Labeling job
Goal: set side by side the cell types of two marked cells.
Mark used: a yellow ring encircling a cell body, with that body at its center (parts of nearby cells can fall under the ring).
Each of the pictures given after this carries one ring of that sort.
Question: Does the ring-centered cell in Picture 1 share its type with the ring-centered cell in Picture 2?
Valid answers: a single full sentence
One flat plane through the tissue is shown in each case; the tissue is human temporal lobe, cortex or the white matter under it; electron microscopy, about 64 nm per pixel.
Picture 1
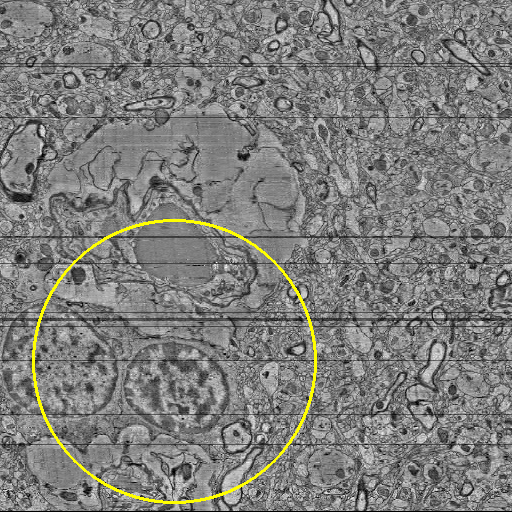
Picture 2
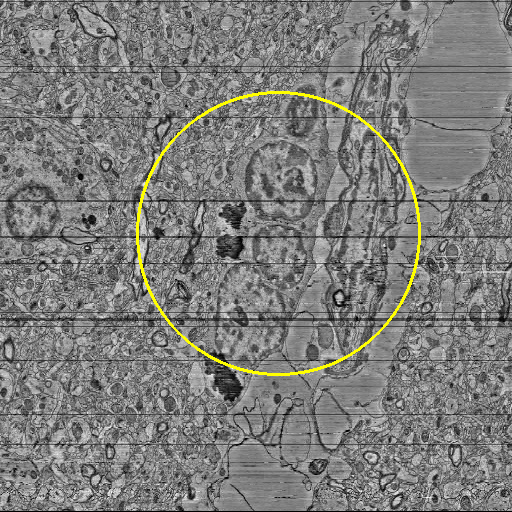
Yes, in Pictures 1 and 2 the cells at the ring centers share one type.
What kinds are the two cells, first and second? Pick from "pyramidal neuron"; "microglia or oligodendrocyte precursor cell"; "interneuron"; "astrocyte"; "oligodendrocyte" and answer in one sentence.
Each cell, in the first picture and the second, is an oligodendrocyte.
